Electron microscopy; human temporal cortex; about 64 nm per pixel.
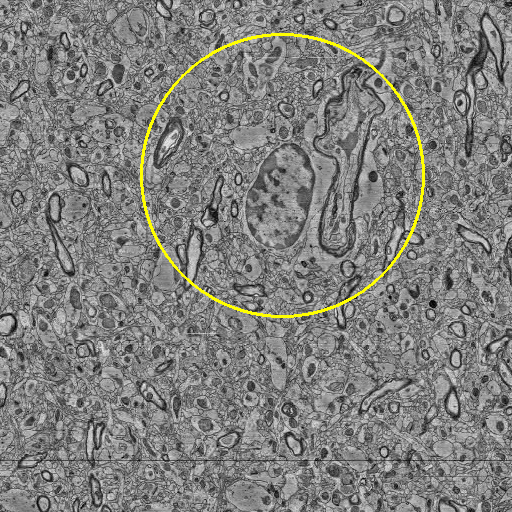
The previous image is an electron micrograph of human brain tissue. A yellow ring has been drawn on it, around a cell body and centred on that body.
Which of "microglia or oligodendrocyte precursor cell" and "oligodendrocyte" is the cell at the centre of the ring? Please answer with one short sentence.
The cell body at the centre of the ring belongs to a microglial cell or oligodendrocyte precursor cell.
